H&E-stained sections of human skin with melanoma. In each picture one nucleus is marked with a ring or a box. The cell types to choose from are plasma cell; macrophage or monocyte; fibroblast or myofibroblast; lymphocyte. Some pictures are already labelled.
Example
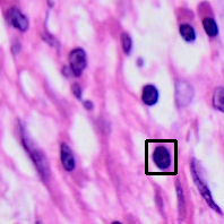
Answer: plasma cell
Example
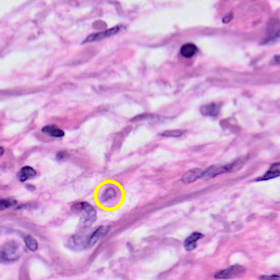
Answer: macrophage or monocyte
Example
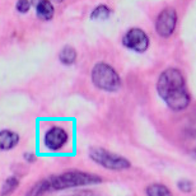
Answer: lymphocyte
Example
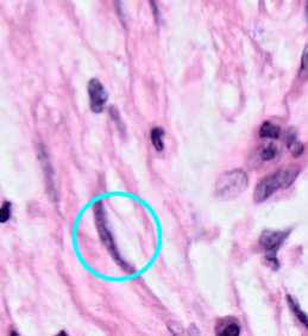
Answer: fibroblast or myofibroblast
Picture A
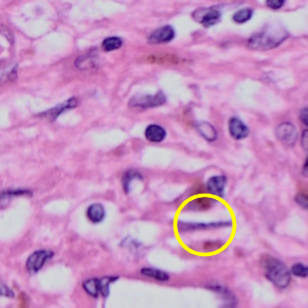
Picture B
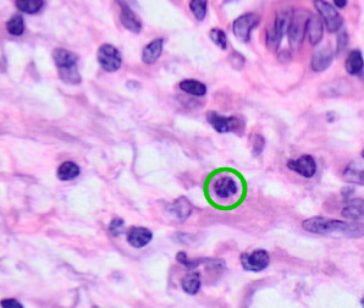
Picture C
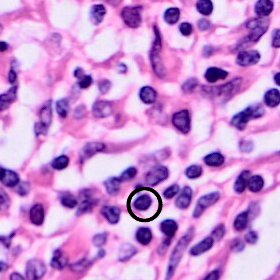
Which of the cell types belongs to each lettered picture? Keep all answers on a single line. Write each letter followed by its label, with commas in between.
A fibroblast or myofibroblast, B plasma cell, C lymphocyte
